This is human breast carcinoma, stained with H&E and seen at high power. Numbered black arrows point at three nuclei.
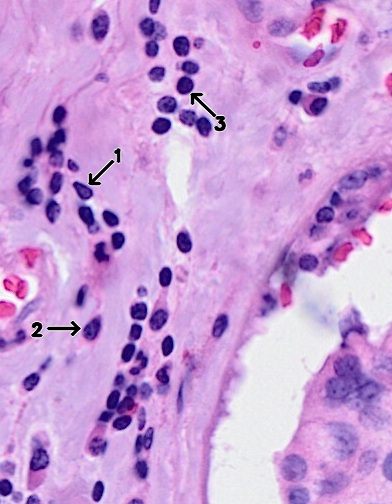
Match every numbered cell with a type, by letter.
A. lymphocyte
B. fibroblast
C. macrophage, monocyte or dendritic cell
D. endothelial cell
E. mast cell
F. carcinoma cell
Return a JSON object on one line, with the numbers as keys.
{"1": "A", "2": "E", "3": "A"}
